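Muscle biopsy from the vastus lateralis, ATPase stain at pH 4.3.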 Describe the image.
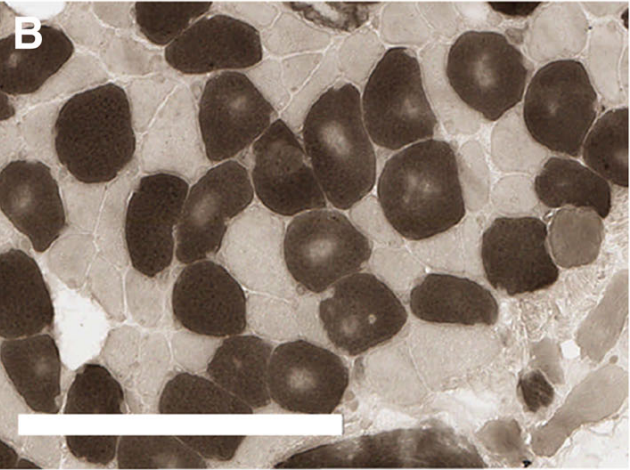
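The dark fibers are rounded to polygonal and many of them contain a pale central core, a lighter area in the middle of the fiber. The pale fibers between them are of similar or smaller size and show little staining. A few fibers are of intermediate brown tone, and thin connective tissue separates the fibers.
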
